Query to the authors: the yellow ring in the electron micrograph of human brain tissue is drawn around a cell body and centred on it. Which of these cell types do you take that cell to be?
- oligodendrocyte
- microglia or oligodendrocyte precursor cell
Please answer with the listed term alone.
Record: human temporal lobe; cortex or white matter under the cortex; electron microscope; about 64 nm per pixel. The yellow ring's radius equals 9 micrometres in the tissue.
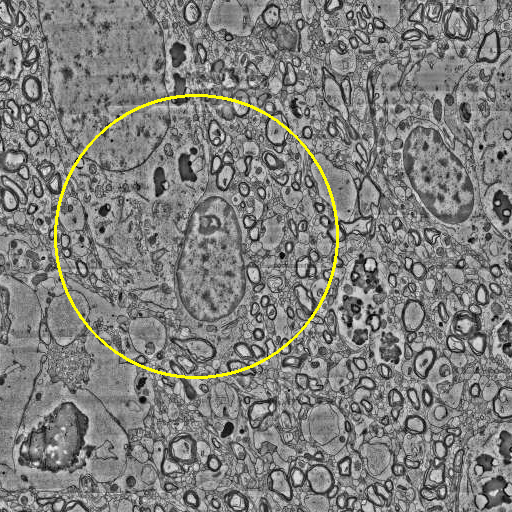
oligodendrocyte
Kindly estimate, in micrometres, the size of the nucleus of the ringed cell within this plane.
The ringed cell's nucleus is roughly 8 by 5 micrometres and clearly longer than it is wide in this plane.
